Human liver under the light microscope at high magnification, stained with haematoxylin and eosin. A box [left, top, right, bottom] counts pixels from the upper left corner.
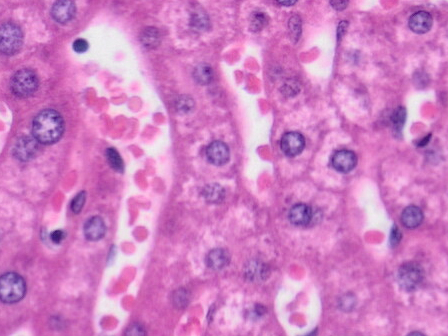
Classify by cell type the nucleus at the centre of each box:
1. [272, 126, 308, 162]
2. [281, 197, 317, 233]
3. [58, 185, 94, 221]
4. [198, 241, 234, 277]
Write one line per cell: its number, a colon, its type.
1: hepatocyte
2: hepatocyte
3: Kupffer cell
4: hepatocyte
